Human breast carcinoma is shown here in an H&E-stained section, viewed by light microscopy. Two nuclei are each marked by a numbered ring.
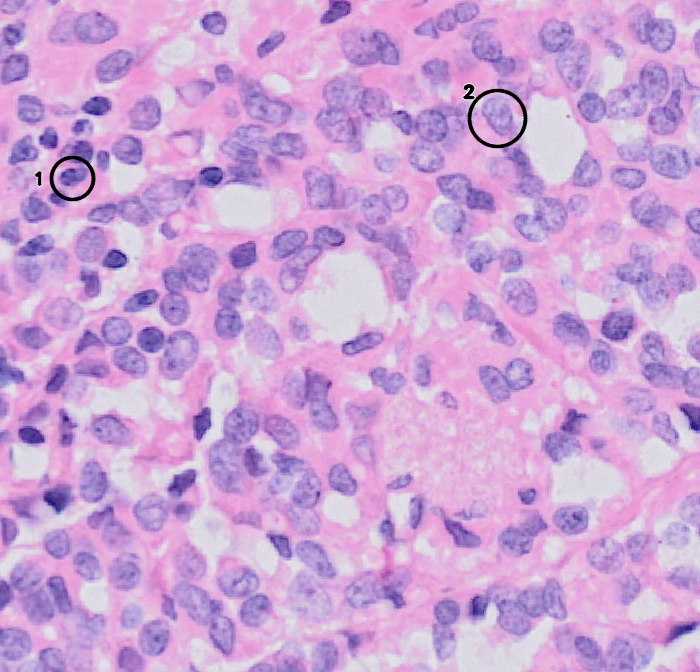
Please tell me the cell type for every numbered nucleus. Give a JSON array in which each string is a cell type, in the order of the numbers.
["lymphocyte", "carcinoma cell"]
